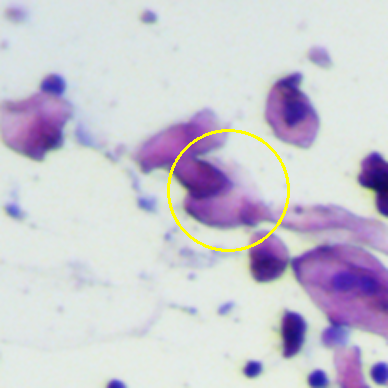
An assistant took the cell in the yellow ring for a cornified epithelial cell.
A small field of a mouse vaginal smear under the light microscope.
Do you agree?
I agree, it is a cornified epithelial cell.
